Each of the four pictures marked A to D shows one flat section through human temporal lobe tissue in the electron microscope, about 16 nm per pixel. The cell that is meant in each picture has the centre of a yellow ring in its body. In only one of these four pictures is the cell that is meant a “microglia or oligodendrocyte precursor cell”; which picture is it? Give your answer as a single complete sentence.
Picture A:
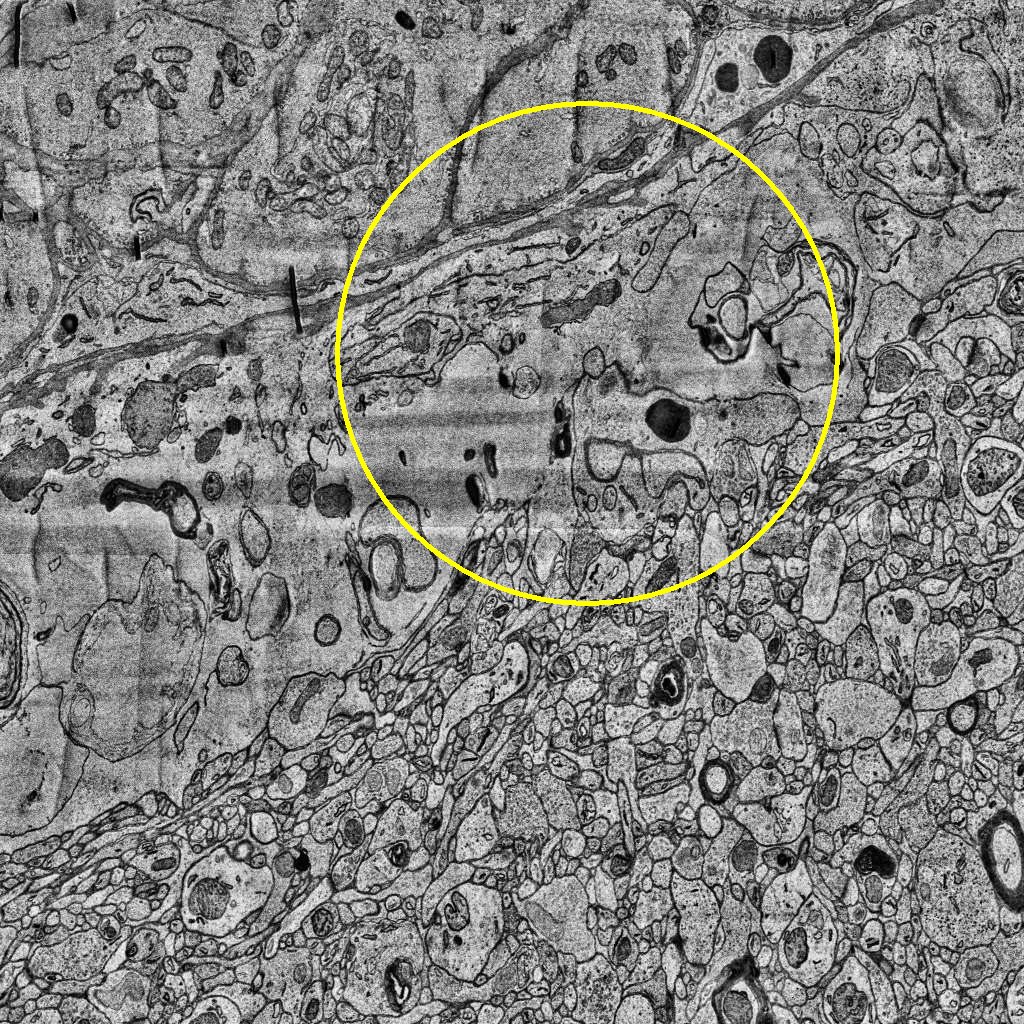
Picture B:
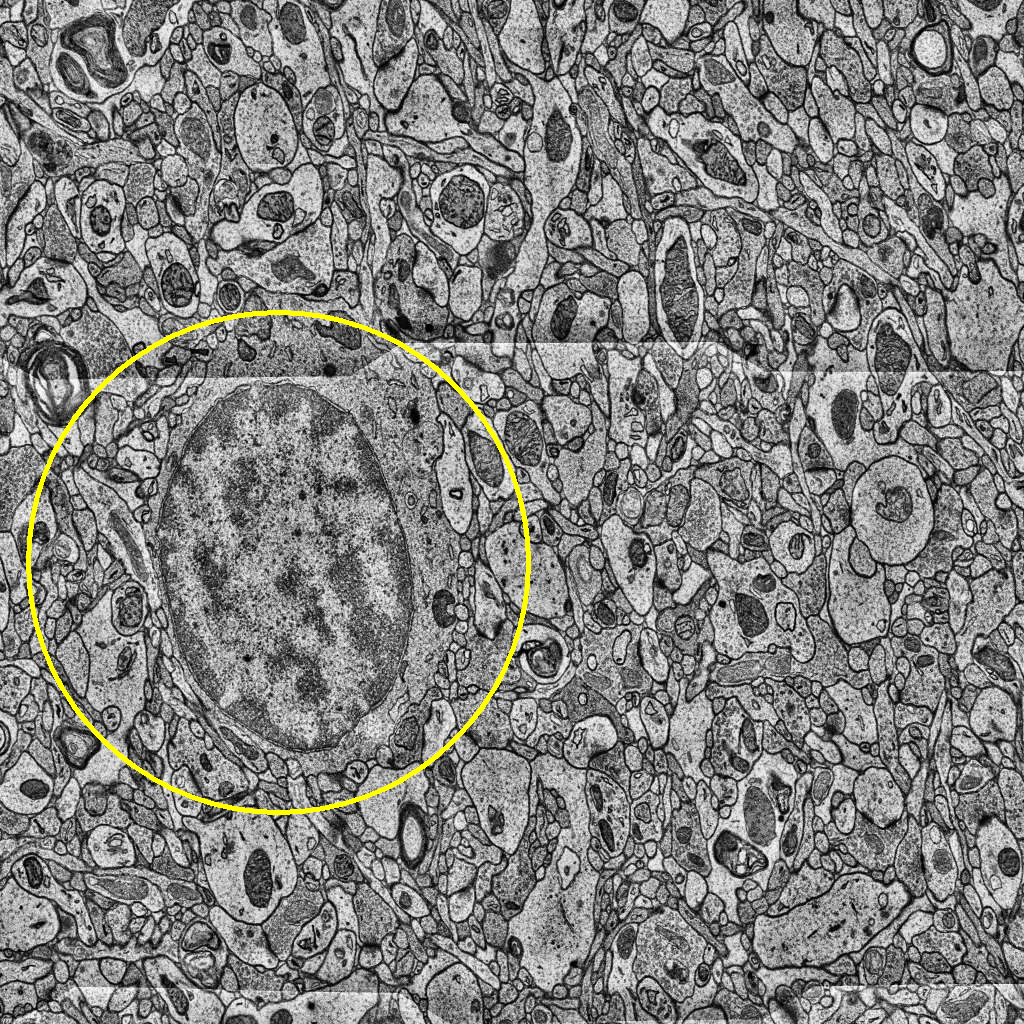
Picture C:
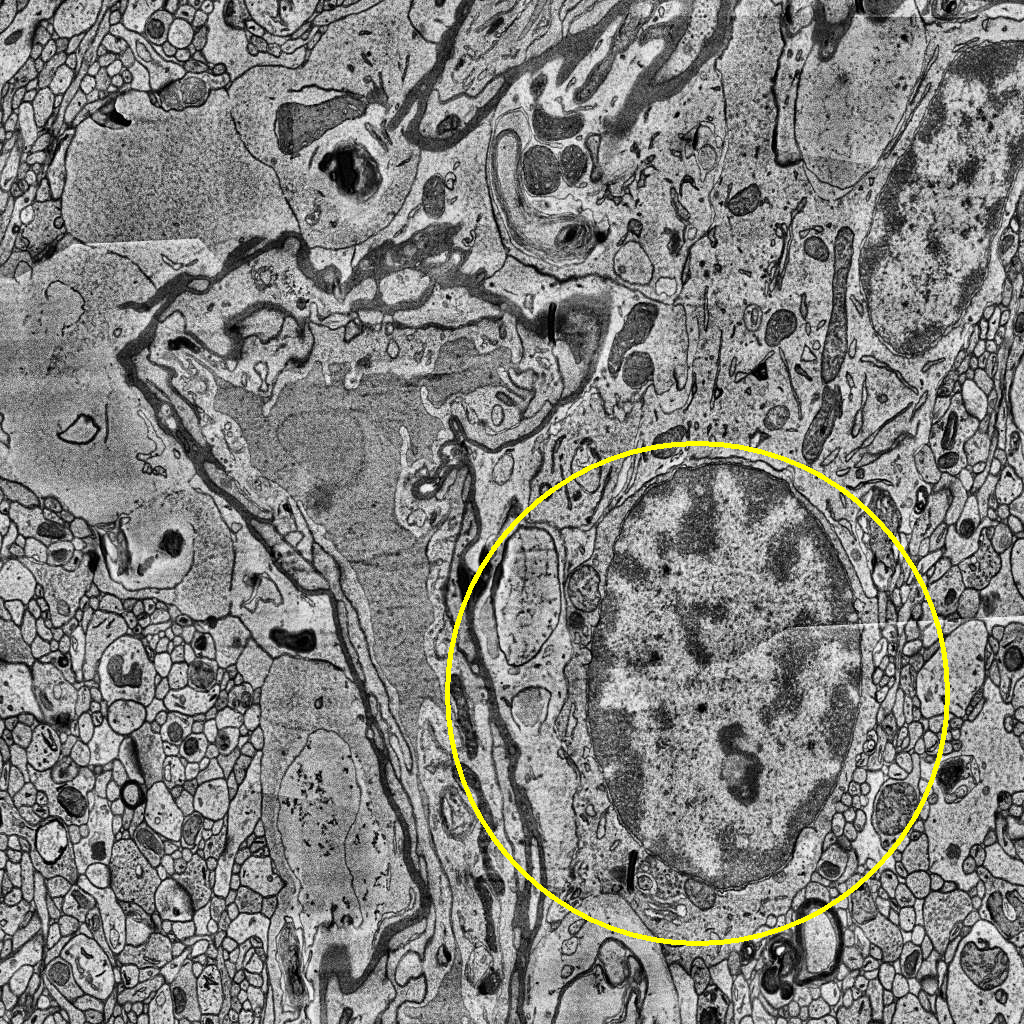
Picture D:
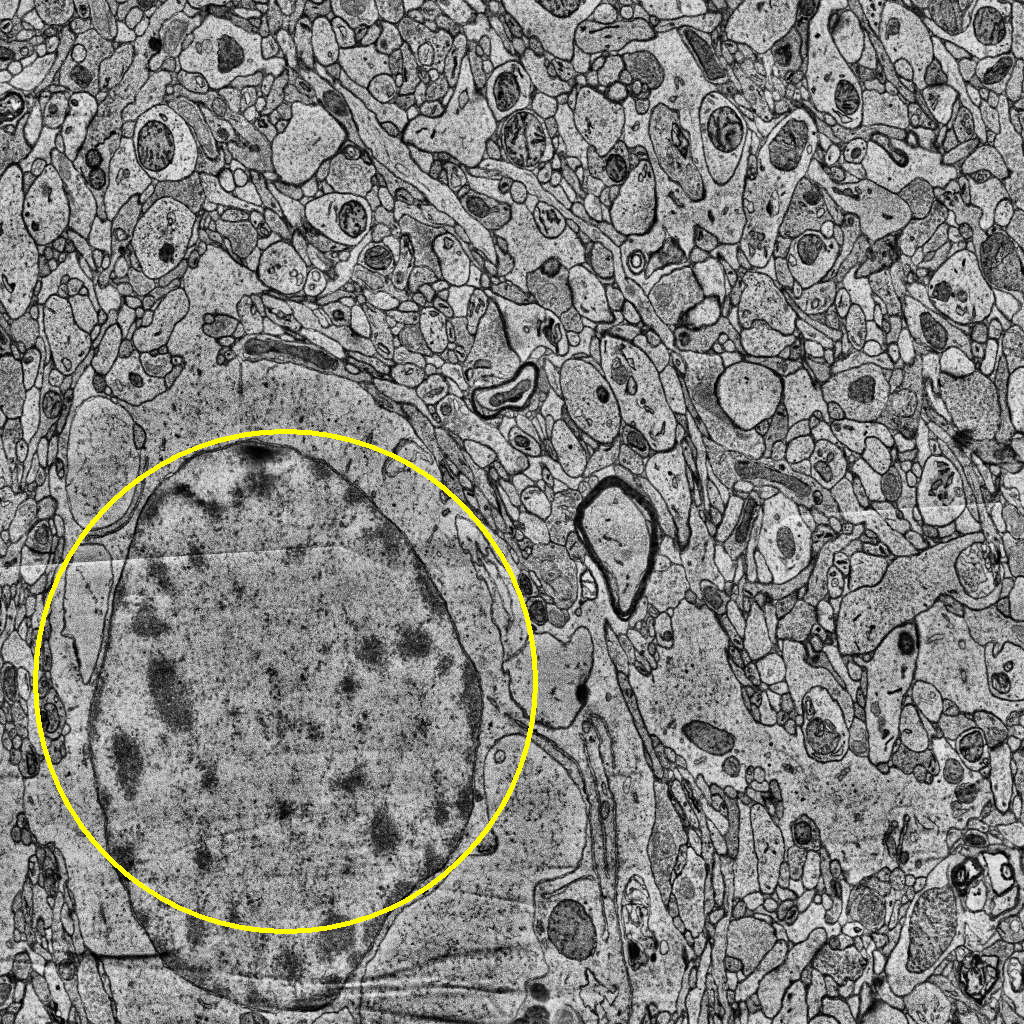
The “microglia or oligodendrocyte precursor cell” is the one in picture A.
